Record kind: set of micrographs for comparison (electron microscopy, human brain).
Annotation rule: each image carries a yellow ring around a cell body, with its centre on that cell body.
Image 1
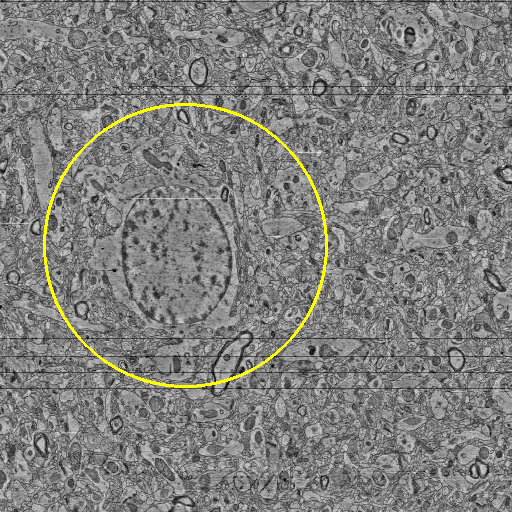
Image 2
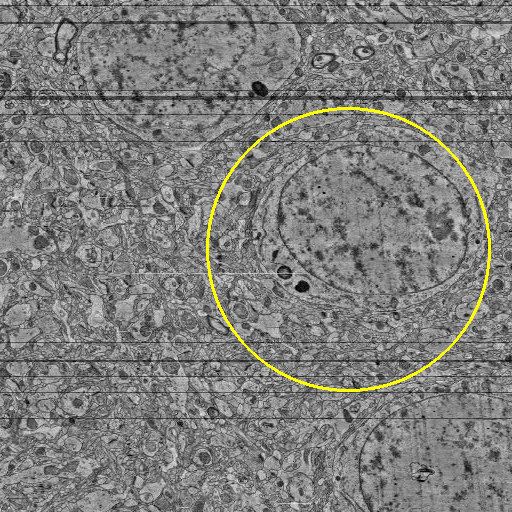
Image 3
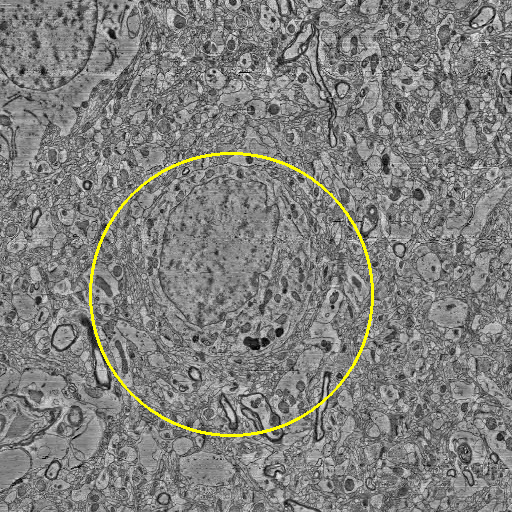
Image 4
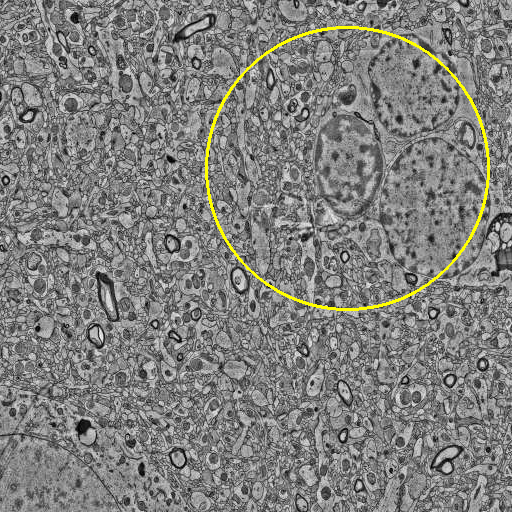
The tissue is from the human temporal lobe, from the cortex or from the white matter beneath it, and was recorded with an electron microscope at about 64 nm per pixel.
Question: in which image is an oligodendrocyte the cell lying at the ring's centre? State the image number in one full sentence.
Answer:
In image 4, the ring is centred on the cell in question.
